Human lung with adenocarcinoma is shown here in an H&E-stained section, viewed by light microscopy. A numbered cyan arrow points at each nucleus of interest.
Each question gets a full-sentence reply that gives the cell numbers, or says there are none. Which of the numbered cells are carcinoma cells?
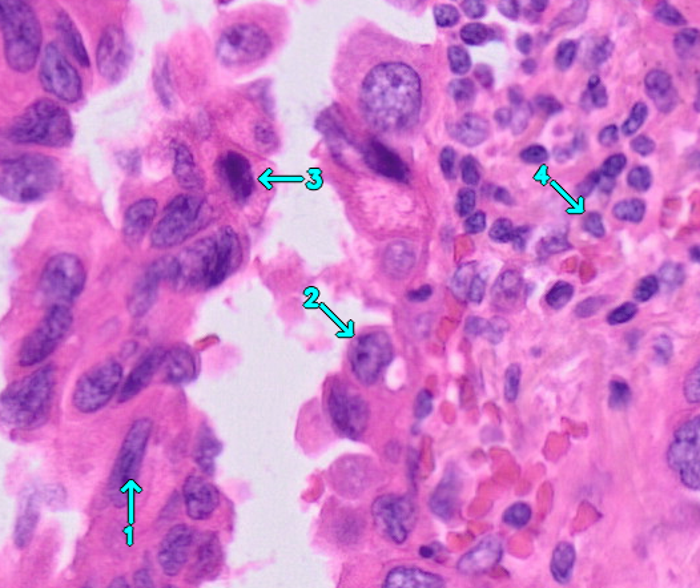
The cells shown with numbers 1, 2 and 3 are carcinoma cells.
